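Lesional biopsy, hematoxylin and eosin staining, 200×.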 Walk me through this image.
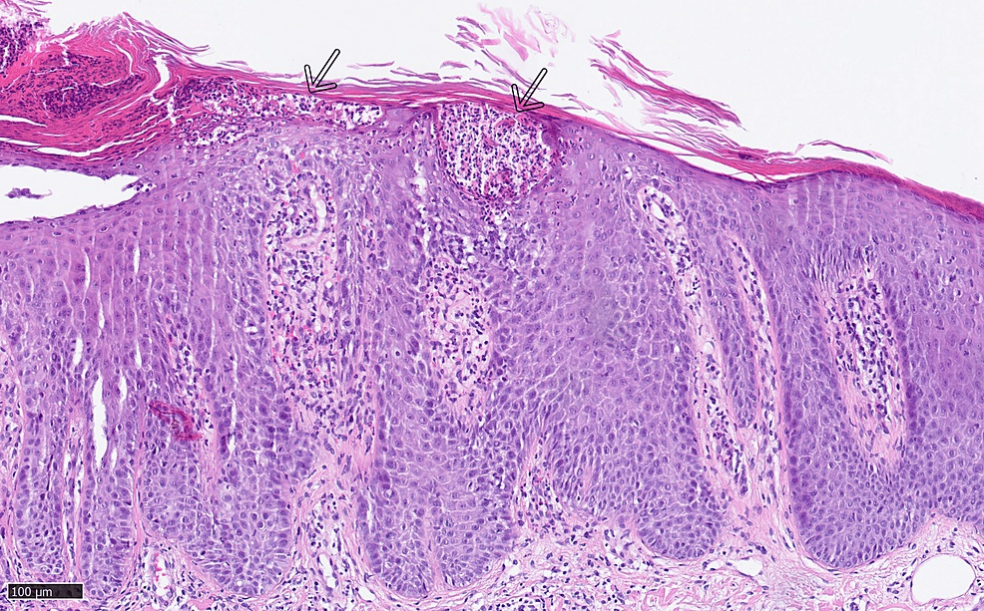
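Skin with a thickened stratified squamous epidermis. Under the pink, flaky cornified layer lie pockets filled with many small, dark, dense nuclei of inflammatory cells. One pocket is rounded and presses down into the upper epidermis. A second, flatter collection lies nearby along the surface. The papillae contain small vessels and scattered dark nuclei of inflammatory cells. The keratinocytes have pale pink cytoplasm, and the basal layer is darker and more crowded.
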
